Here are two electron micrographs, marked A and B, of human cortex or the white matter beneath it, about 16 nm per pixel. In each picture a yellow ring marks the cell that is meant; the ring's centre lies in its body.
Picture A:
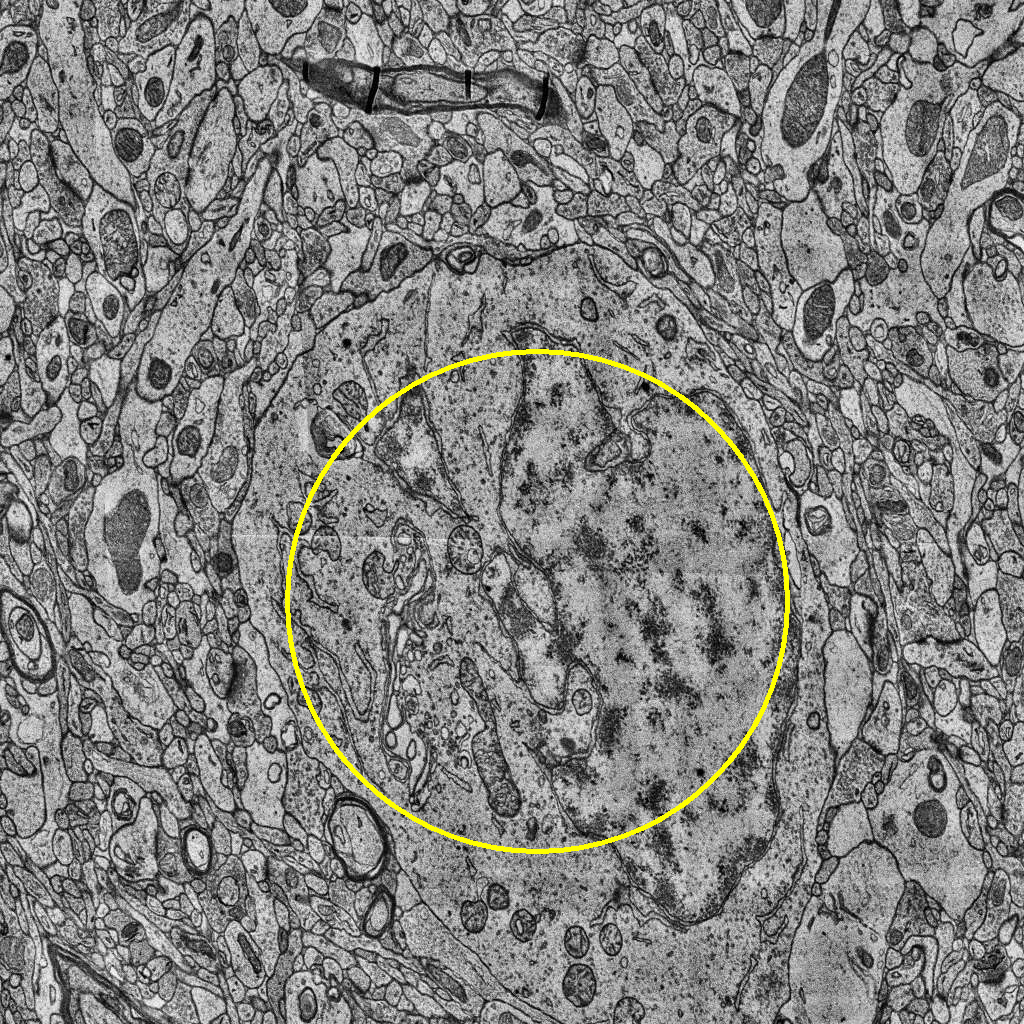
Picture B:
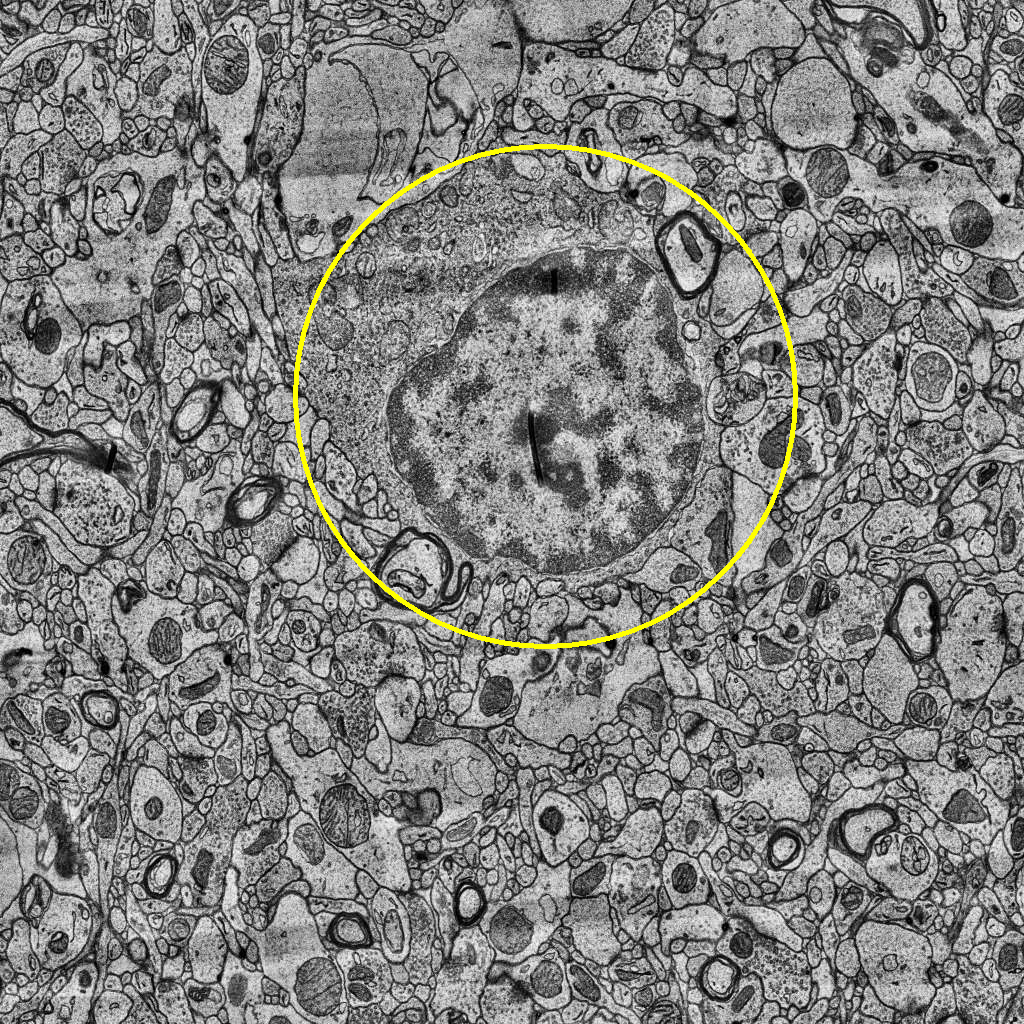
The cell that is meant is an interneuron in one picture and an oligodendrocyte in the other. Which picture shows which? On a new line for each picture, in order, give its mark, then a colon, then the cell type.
A: interneuron
B: oligodendrocyte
